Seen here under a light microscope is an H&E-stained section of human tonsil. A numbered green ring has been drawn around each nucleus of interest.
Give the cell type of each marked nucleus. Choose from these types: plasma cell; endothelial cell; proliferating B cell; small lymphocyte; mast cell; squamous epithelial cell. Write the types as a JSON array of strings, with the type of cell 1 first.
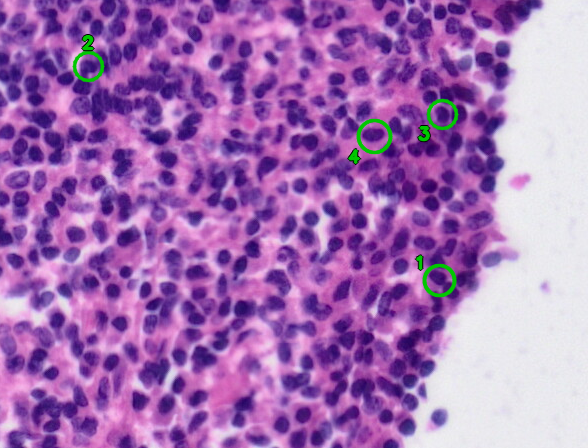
["plasma cell", "small lymphocyte", "small lymphocyte", "plasma cell"]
